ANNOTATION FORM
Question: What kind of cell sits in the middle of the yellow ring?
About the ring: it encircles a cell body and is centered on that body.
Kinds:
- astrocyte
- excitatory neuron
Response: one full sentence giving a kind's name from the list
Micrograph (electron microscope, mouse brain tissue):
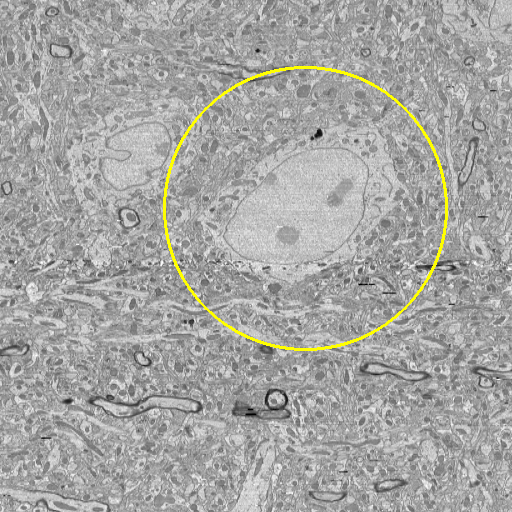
The kind of cell found at the center of the yellow ring in the micrograph is an excitatory neuron.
